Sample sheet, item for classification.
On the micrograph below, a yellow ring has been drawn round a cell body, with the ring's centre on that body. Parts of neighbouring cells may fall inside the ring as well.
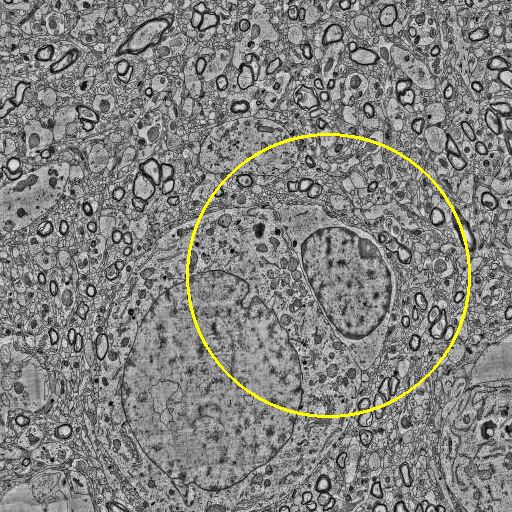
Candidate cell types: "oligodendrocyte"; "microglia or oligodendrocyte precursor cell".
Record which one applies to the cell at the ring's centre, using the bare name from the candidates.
microglia or oligodendrocyte precursor cell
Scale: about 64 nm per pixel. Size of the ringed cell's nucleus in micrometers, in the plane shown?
About 7 by 5 micrometers, in this plane.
